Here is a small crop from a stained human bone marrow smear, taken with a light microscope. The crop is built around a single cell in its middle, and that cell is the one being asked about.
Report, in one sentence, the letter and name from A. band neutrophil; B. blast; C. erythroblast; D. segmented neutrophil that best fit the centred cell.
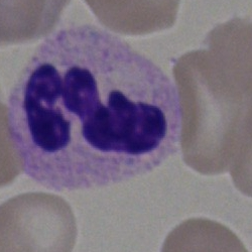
Option D is the right one, for the cell in the middle is a segmented neutrophil.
